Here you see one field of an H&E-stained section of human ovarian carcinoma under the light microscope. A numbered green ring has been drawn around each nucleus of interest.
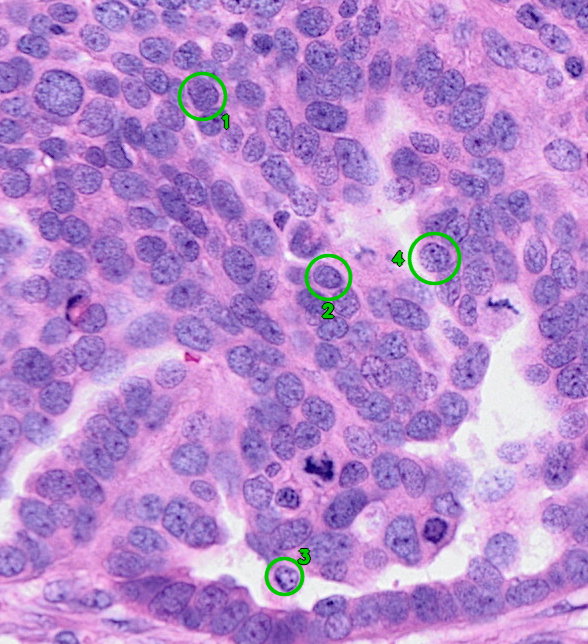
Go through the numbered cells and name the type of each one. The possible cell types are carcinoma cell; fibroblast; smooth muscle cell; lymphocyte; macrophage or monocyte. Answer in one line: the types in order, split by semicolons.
carcinoma cell; carcinoma cell; macrophage or monocyte; carcinoma cell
